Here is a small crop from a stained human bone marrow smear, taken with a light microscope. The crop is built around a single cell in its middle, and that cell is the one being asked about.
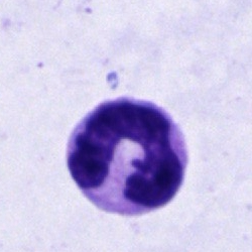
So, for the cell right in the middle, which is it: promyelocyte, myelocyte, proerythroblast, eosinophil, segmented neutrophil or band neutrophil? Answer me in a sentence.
The single cell at the center of the crop is a band neutrophil.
